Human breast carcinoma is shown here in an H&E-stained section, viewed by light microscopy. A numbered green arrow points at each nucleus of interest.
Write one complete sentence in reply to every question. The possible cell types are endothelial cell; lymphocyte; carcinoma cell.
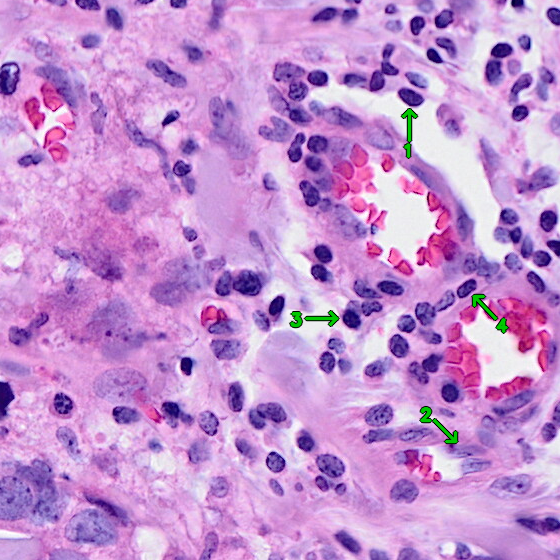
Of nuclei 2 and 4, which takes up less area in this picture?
Nucleus 4 covers less area, with nucleus 2 about 1.5 times as large.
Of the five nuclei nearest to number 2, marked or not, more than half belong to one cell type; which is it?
The majority of the five nuclei closest to number 2 belong to endothelial cells.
